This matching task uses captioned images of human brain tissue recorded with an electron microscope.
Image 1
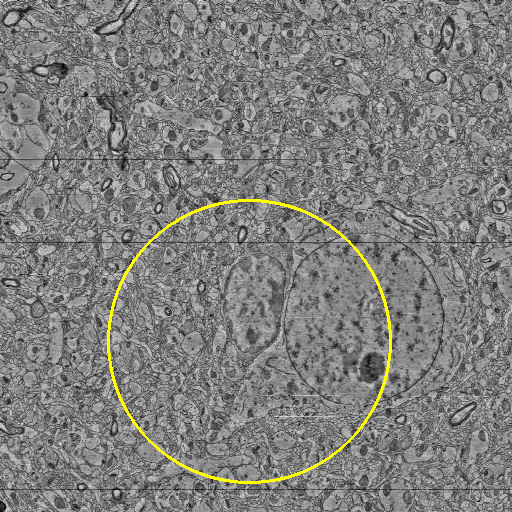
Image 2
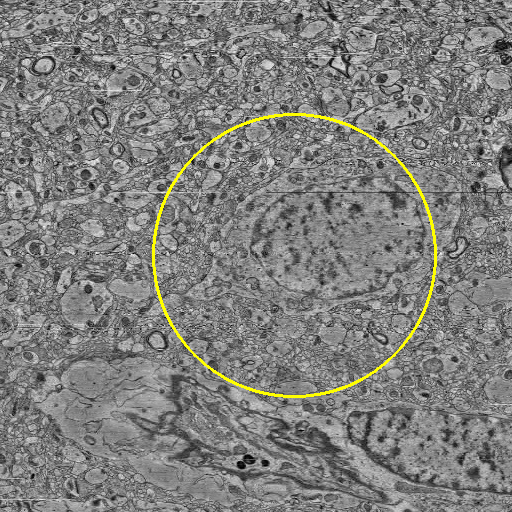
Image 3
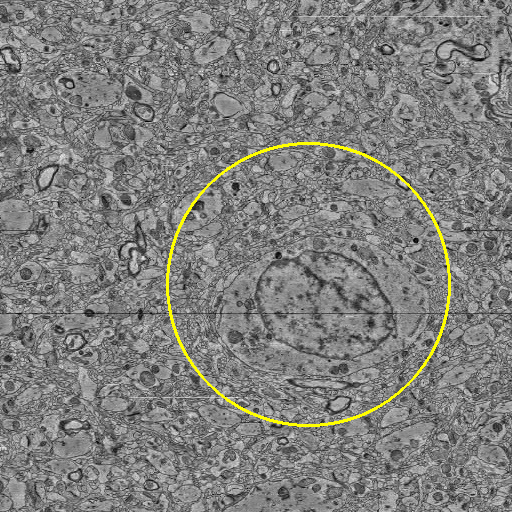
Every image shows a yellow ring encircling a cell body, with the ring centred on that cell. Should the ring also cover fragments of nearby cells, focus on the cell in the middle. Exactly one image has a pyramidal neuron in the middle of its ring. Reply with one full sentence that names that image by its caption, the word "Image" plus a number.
Image 3 shows the cell in question at the centre of its yellow ring.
